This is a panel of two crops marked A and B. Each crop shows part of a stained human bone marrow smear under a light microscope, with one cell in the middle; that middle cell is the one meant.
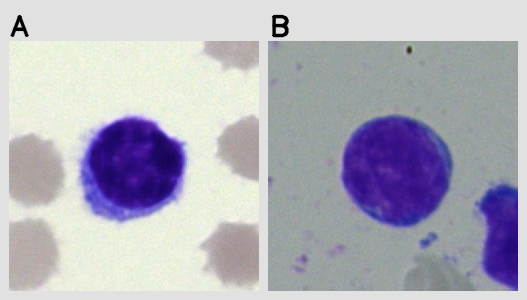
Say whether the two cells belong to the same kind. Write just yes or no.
no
